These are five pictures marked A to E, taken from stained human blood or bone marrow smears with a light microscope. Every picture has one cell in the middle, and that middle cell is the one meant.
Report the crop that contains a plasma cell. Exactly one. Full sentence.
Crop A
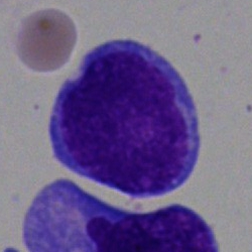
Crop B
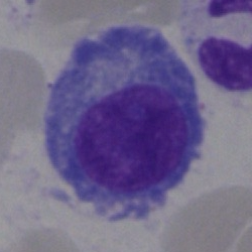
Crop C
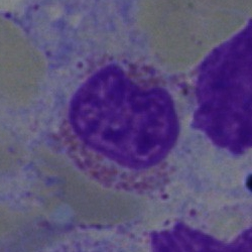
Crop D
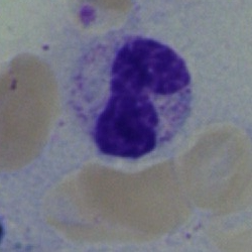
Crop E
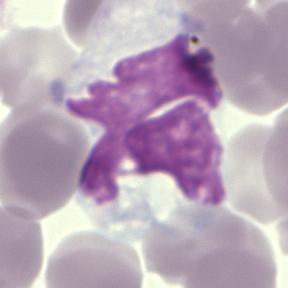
The crop with a plasma cell at its center is crop B.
